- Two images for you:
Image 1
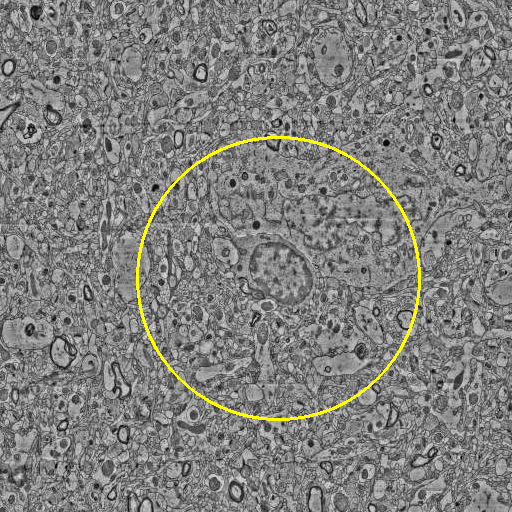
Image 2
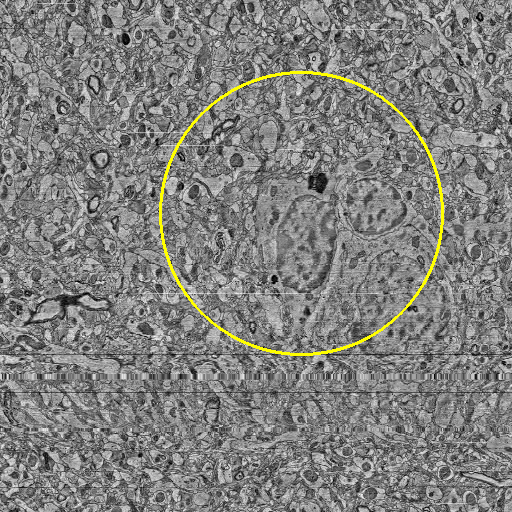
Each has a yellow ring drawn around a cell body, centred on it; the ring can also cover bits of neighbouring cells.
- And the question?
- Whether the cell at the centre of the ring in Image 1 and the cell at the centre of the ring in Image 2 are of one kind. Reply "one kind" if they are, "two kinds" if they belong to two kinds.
one kind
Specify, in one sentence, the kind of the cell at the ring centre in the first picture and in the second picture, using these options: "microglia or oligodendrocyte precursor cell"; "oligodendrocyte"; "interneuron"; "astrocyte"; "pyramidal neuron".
Each of the two pictures has an oligodendrocyte at the ring centre.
